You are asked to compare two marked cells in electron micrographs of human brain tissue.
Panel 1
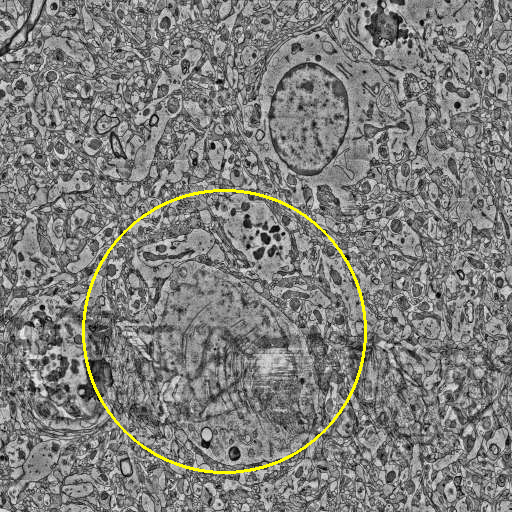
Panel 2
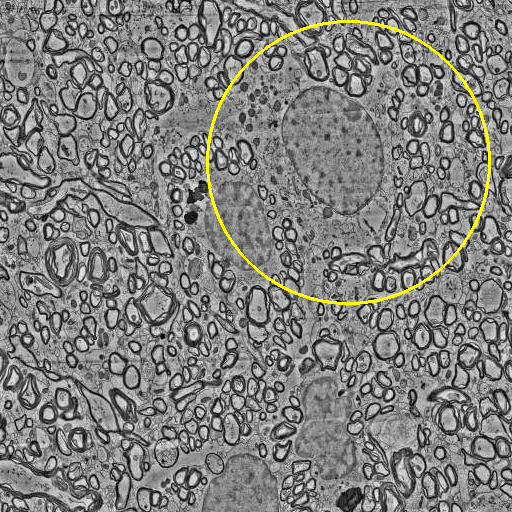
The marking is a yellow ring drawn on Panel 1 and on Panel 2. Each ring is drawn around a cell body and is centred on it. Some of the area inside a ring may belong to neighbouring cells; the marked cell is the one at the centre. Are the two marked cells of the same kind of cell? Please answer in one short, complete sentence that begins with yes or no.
No, the two marked cells are of two kinds.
